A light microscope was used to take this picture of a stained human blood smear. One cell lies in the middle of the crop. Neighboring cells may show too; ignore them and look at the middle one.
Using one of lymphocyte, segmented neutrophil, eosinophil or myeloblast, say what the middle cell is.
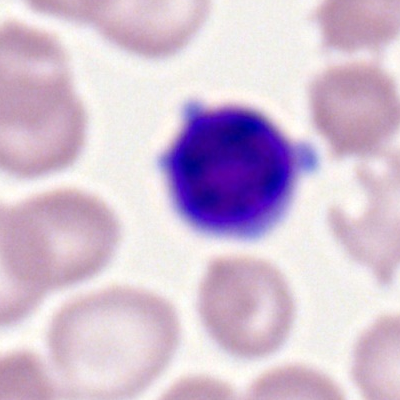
lymphocyte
